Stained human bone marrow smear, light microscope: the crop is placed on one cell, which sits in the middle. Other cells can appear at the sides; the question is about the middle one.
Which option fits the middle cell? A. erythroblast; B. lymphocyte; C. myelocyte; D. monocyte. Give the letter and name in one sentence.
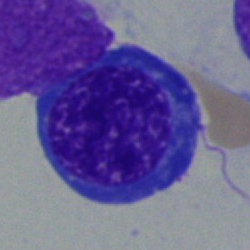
Option A holds up: the cell in the middle is an erythroblast.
